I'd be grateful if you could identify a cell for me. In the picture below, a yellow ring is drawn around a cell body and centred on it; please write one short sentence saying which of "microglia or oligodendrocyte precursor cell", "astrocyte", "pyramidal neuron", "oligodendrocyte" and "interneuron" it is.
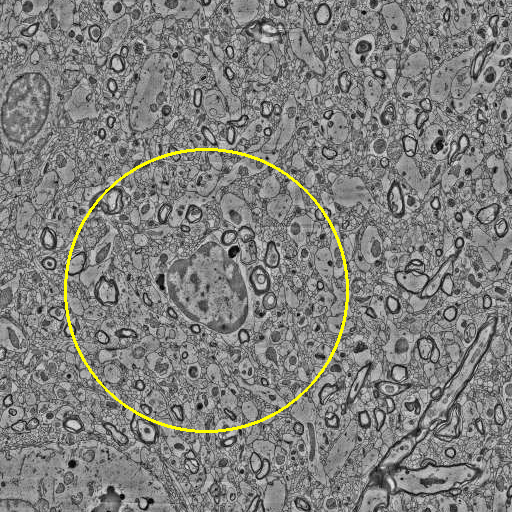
The cell under the ring's centre is a microglial cell or oligodendrocyte precursor cell.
